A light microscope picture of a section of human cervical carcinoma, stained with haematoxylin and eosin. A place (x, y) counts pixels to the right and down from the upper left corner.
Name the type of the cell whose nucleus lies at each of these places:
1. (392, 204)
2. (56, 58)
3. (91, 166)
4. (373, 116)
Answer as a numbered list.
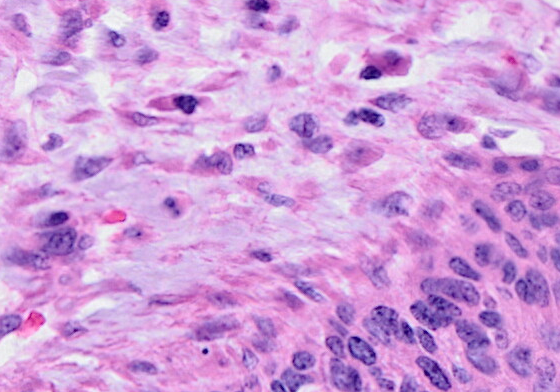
1. fibroblast
2. fibroblast
3. fibroblast
4. lymphocyte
